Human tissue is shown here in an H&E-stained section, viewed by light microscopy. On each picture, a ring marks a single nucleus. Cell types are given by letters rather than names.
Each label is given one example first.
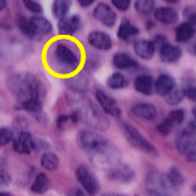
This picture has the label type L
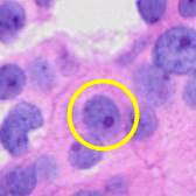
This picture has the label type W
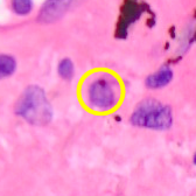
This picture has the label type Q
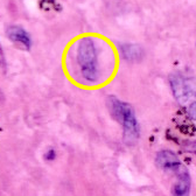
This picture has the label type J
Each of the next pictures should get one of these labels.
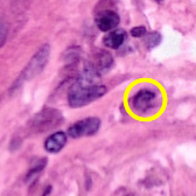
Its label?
type Q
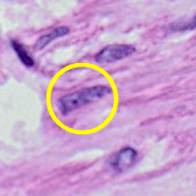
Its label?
type J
